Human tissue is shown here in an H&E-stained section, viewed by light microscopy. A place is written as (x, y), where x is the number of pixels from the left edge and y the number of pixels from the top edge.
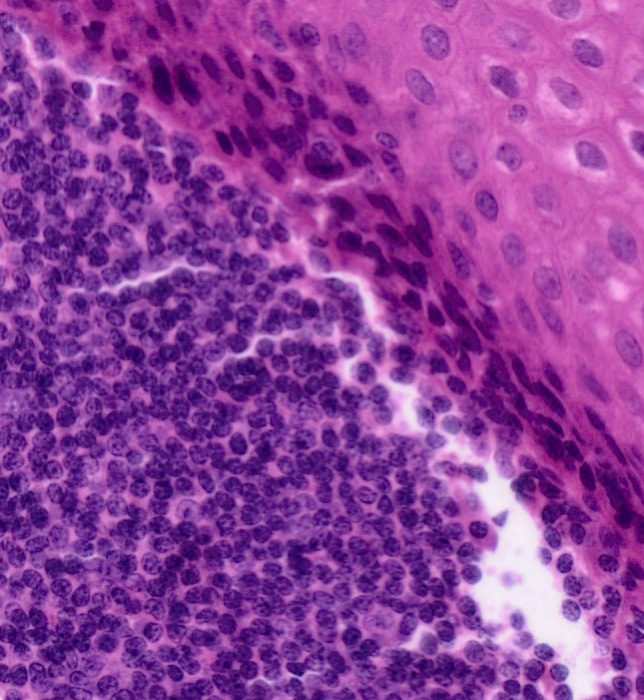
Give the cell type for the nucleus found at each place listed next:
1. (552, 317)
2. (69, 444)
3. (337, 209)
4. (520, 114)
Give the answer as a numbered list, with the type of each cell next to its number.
1. squamous epithelial cell
2. small lymphocyte
3. squamous epithelial cell
4. squamous epithelial cell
